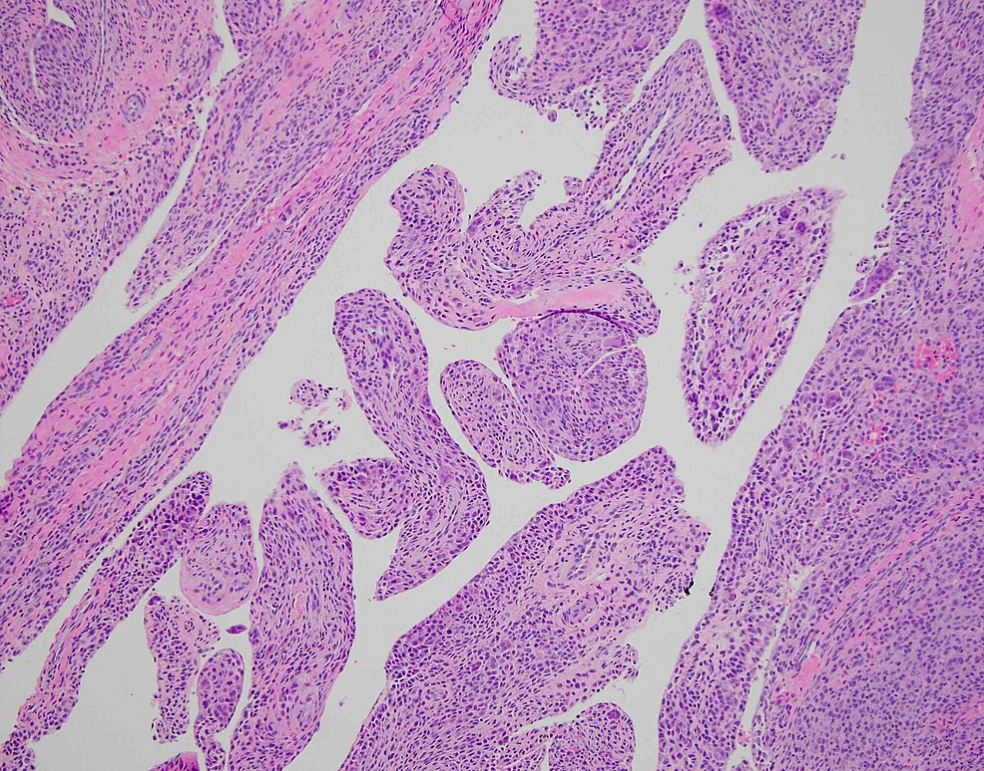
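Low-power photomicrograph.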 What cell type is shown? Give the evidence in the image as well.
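Mononuclear cells. The fronds are densely packed with small cells. Each of these cells has a single dark purple nucleus.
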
